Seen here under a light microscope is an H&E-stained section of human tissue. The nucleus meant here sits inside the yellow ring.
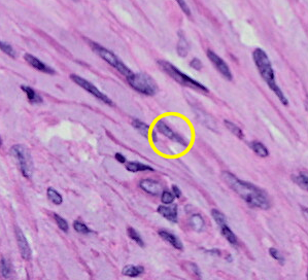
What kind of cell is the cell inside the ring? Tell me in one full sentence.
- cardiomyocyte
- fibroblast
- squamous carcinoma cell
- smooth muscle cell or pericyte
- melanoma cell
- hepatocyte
The correct response here is that the cell inside the ring is a fibroblast.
